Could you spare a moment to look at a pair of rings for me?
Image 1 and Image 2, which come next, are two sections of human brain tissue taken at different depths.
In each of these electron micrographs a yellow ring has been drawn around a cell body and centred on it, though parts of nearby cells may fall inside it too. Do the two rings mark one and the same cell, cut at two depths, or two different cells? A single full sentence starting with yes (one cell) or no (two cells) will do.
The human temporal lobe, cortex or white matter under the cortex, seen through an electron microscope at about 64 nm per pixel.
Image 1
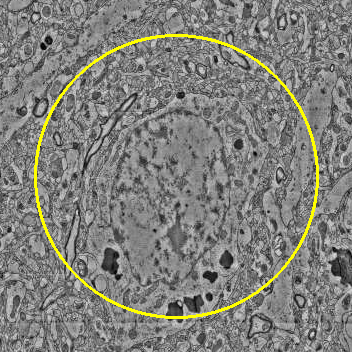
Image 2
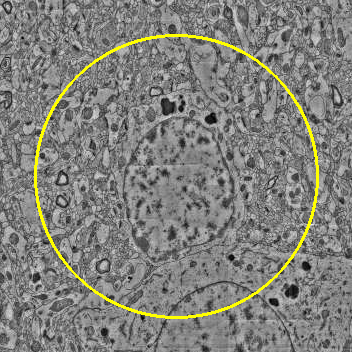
No, one ring and the other ring mark two distinct cells.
